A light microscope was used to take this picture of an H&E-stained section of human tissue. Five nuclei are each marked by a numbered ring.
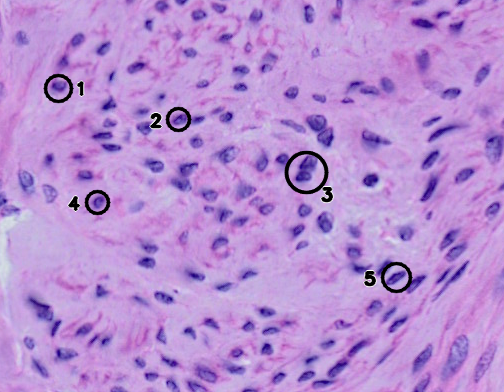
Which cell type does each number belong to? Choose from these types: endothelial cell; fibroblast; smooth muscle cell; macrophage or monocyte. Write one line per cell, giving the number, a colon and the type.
1: smooth muscle cell
2: smooth muscle cell
3: fibroblast
4: smooth muscle cell
5: fibroblast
